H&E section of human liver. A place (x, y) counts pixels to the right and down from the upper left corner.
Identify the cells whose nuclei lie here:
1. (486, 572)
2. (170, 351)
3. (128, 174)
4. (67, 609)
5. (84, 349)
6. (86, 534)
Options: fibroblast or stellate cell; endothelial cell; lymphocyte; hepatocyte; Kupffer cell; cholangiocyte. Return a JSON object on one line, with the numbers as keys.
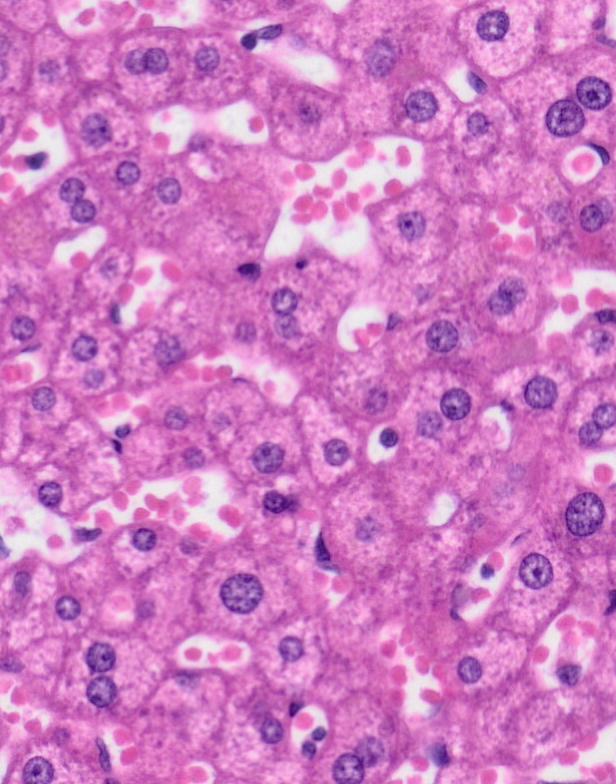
{"1": "lymphocyte", "2": "hepatocyte", "3": "hepatocyte", "4": "hepatocyte", "5": "hepatocyte", "6": "Kupffer cell"}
